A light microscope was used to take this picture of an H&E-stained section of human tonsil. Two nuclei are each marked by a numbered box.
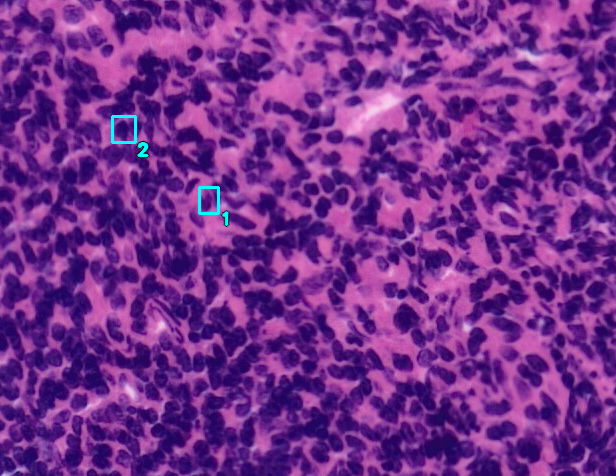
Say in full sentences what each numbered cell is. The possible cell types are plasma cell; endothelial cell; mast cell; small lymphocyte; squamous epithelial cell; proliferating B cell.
Cell 1 is an endothelial cell. Cell 2 is a small lymphocyte.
